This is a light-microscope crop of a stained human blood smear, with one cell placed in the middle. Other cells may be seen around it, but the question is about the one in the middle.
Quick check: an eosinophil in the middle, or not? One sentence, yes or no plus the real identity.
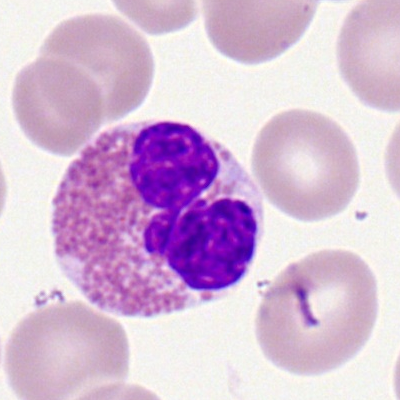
Yes, the cell in the middle has the identity of an eosinophil.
